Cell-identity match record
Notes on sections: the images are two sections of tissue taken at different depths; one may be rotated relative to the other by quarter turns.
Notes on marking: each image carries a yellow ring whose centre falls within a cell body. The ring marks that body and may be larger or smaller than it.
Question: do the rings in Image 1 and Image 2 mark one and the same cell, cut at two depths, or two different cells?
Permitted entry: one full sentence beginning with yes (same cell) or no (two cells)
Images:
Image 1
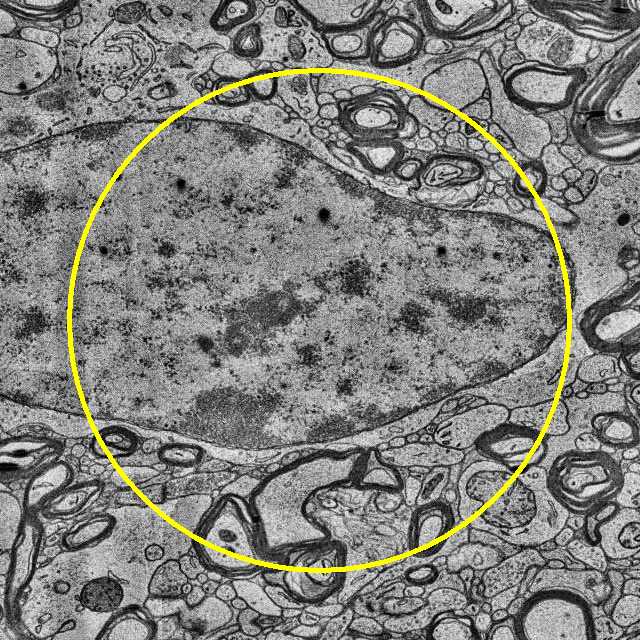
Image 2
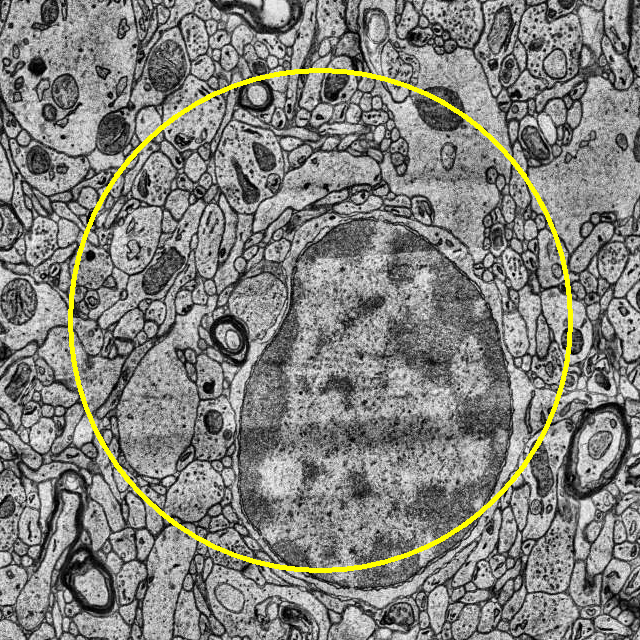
No, the rings do not mark the same cell.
